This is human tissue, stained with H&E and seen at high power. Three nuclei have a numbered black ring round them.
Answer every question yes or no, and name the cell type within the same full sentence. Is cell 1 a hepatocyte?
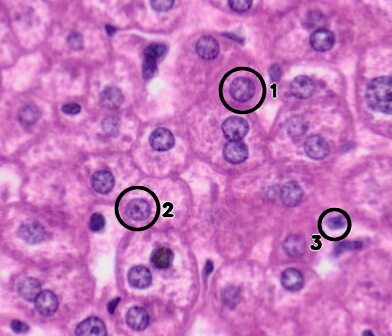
Yes, the marked cell number 1 is a hepatocyte.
